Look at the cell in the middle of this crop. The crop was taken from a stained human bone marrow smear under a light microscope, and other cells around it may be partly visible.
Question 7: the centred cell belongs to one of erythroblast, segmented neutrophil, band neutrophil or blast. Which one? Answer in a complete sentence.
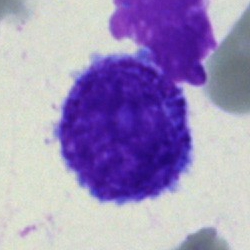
The cell centred in this crop is categorized as a blast.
